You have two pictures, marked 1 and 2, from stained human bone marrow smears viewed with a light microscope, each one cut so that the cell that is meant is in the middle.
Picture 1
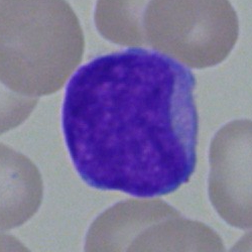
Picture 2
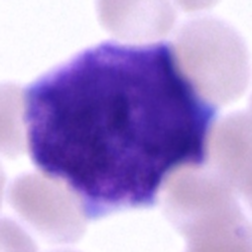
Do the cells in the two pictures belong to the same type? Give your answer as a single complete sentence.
Yes, the two pictures both show blasts.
